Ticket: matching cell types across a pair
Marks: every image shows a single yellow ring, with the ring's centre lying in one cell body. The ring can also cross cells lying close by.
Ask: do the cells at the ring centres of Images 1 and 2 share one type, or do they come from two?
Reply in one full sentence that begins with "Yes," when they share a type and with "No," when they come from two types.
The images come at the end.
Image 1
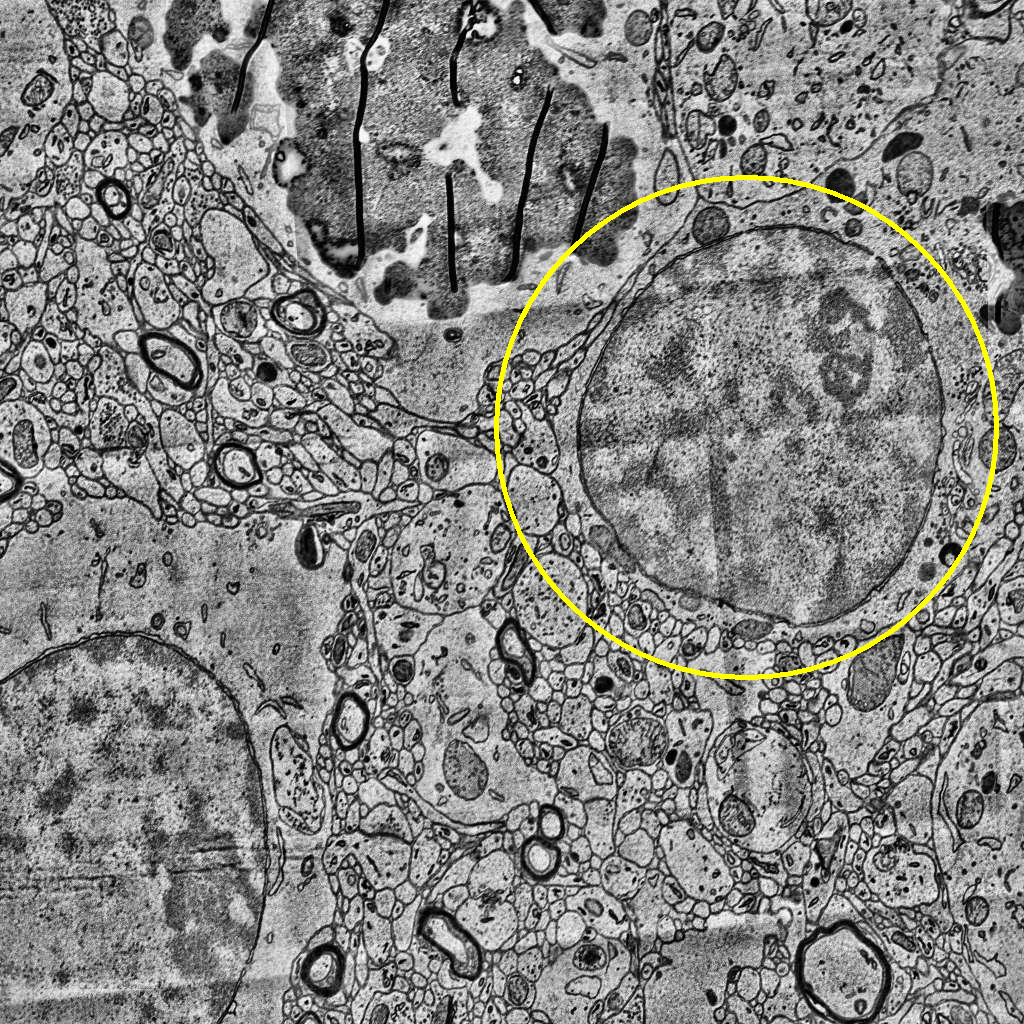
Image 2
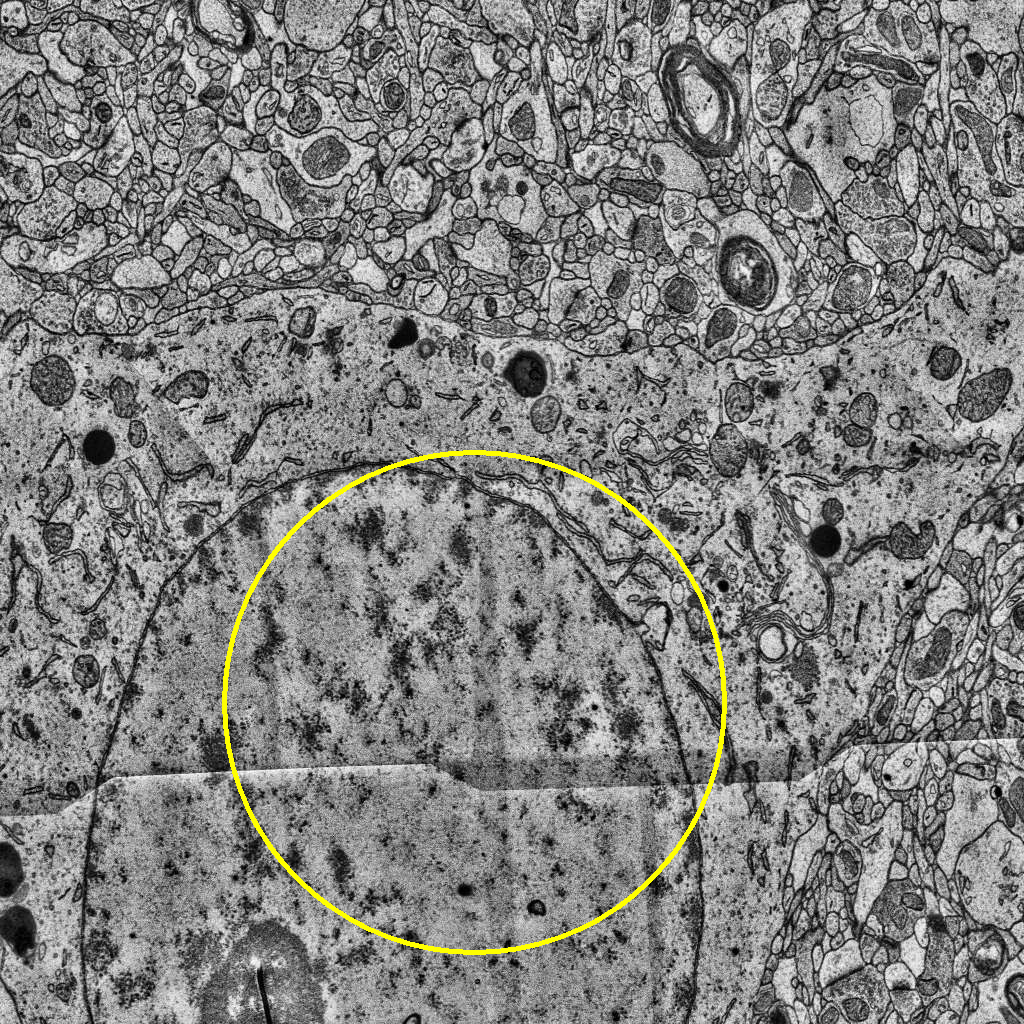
No, the cells at the centres of the rings in Image 1 and Image 2 come from two types.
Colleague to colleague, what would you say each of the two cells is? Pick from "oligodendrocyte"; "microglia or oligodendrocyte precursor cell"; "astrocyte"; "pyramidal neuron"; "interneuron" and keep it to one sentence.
Of the two, the first cell is an oligodendrocyte and the second cell is a pyramidal neuron.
